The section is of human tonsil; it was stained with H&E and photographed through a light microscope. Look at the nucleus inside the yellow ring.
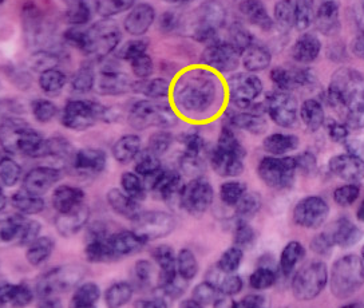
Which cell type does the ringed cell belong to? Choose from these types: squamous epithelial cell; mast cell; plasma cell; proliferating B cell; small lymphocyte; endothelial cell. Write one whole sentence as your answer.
As to its cell type, the ringed cell is a proliferating B cell.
